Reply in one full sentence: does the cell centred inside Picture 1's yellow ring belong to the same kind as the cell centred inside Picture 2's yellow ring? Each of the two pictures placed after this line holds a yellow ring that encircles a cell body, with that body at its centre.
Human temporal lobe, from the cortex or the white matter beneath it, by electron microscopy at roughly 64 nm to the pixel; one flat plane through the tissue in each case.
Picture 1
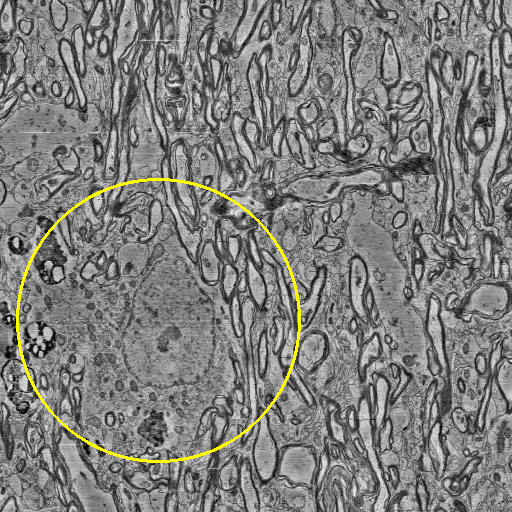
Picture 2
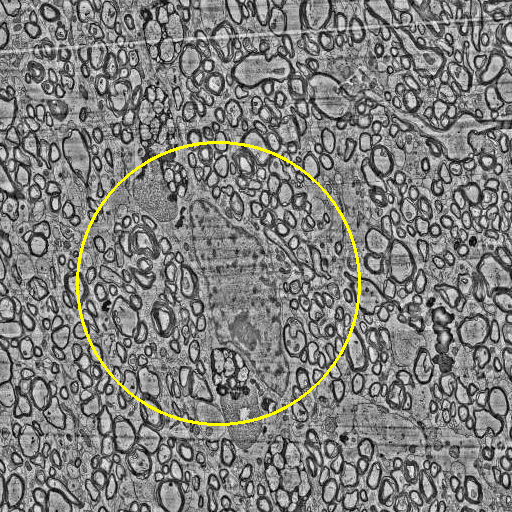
Yes, the ring-centred cells in Picture 1 and Picture 2 are of one and the same kind.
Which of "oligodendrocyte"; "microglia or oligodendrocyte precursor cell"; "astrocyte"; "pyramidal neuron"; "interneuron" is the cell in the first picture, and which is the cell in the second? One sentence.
Each cell, in the first picture and the second, is an astrocyte.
